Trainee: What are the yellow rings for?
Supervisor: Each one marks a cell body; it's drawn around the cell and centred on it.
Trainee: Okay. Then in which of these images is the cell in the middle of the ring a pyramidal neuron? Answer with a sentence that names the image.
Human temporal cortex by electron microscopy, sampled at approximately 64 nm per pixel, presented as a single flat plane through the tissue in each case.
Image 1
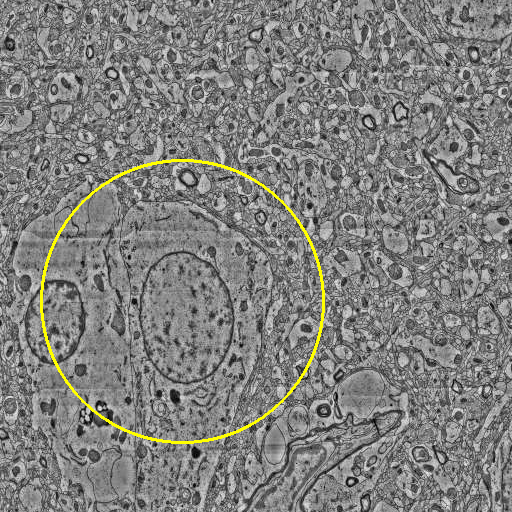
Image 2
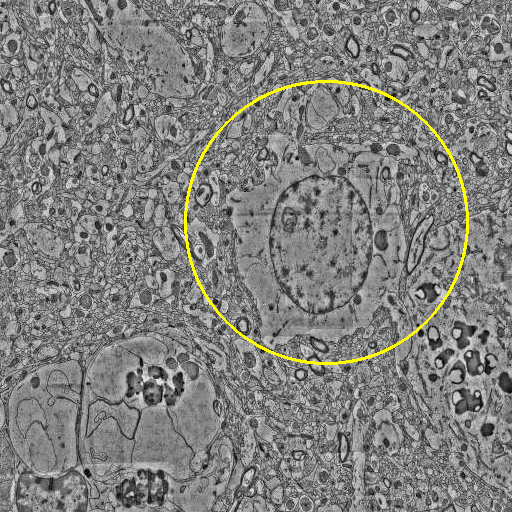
Image 1 has it in the middle of the ring.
